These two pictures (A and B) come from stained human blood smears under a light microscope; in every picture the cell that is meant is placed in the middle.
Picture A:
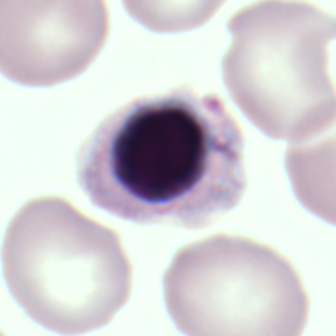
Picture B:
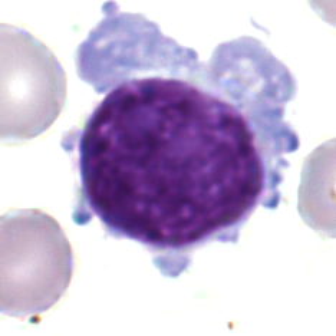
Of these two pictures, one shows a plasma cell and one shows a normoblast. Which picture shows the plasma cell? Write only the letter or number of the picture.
B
